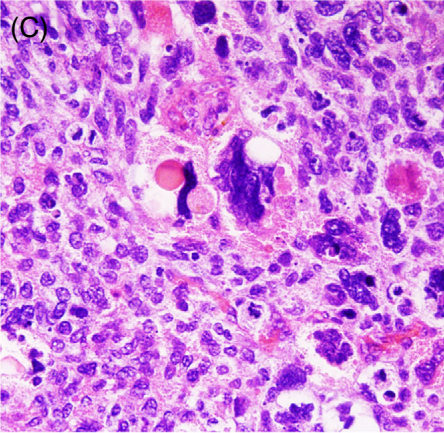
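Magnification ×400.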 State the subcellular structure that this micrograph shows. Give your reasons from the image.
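Eosinophilic cytoplasmic globules. Round, bright pink, glassy globules lie within cells. Globules sit in clear vacuole-like spaces of the cytoplasm.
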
